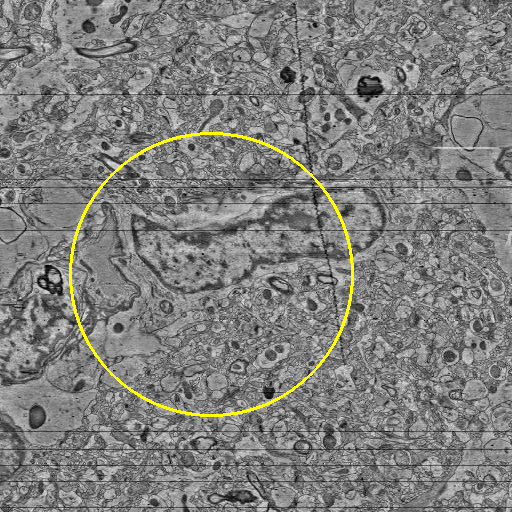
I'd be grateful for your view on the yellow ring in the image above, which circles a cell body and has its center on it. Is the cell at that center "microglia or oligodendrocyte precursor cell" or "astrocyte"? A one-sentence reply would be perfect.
The cell at the center of the yellow ring is a microglial cell or oligodendrocyte precursor cell.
